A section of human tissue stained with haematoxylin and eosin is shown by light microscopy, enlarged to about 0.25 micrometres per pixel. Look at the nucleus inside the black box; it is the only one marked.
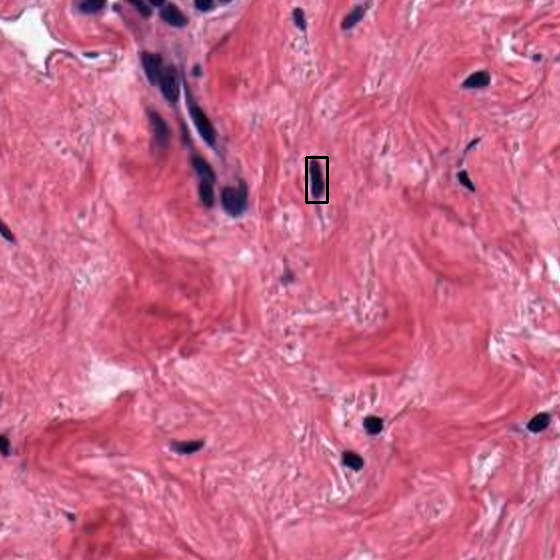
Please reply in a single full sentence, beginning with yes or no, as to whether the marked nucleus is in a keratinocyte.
No, the marked nucleus is not that of a keratinocyte but that of a supporting cell.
